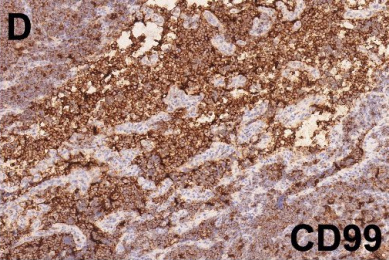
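Tumor tissue is shown as broad sheets and nests of densely packed cells separated by pale blue-grey fibrous strands. Most tumor cells carry a strong brown stain that outlines the cells diffusely across the sheets. The intervening stromal strands are largely unstained and appear light blue. Some small clear spaces lie within the stained areas.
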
